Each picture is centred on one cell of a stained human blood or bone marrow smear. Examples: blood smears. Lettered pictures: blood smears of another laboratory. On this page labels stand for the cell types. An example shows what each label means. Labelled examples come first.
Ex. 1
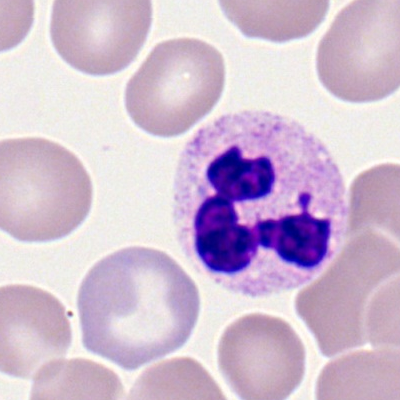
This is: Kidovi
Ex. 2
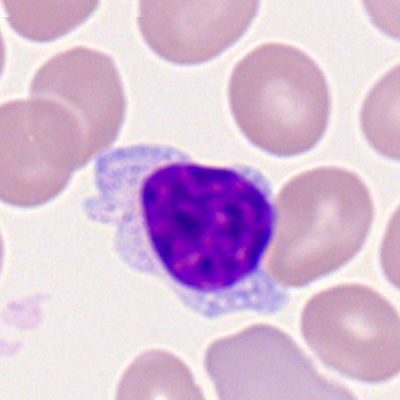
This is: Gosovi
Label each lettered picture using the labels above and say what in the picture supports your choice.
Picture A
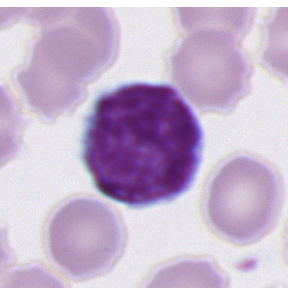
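Answer: Gosovi. Cytoplasm is scant, at most a thin rim at the edge of the nucleus.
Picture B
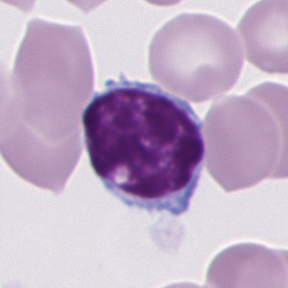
Answer: Gosovi. The cytoplasm forms only a narrow rim around the nucleus.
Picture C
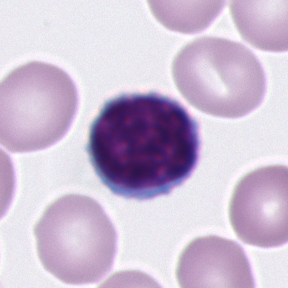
Answer: Gosovi. The cytoplasm forms only a thin rim around the nucleus.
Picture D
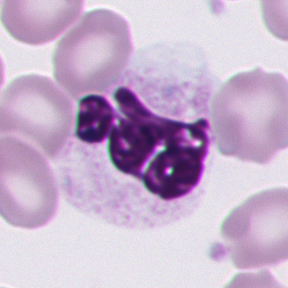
Answer: Kidovi. The nucleus is divided into several separate lobes.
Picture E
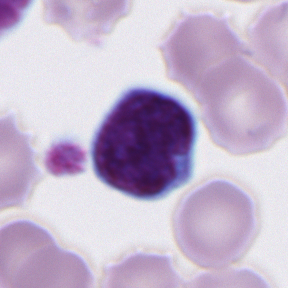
Answer: Gosovi. The nucleus fills almost the whole cell.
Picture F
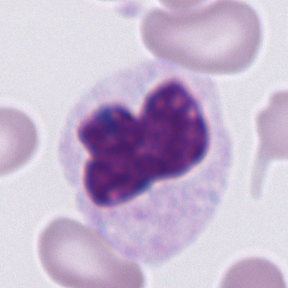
Answer: Kidovi. The cytoplasm is abundant and pale grey-lilac.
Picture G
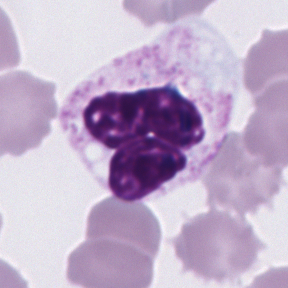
Answer: Kidovi. The cytoplasm is plentiful and very pale greyish-lilac.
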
